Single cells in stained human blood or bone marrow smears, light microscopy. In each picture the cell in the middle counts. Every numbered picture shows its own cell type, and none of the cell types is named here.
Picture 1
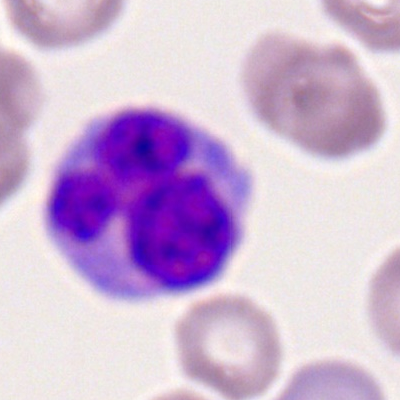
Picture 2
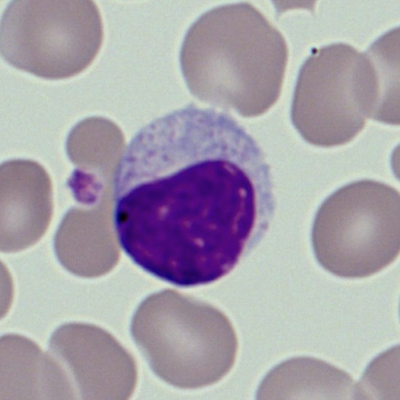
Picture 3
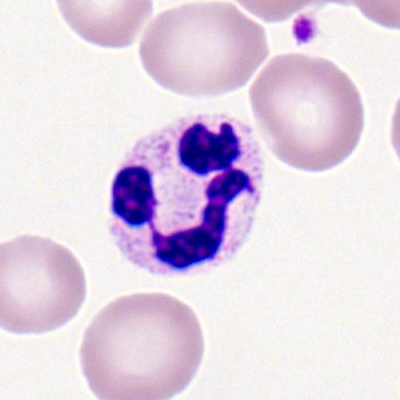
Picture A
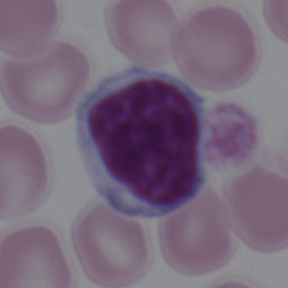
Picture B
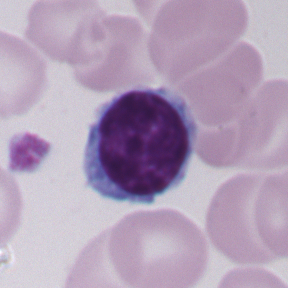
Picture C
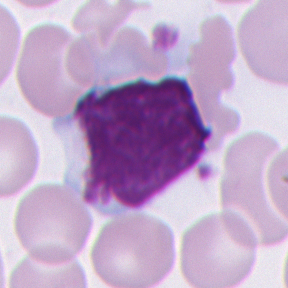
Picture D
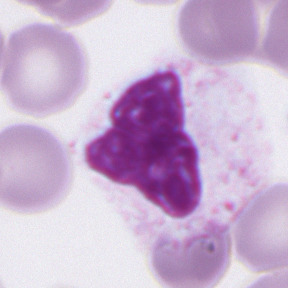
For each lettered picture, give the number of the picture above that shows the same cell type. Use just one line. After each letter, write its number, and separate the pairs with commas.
A 2, B 2, C 2, D 3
